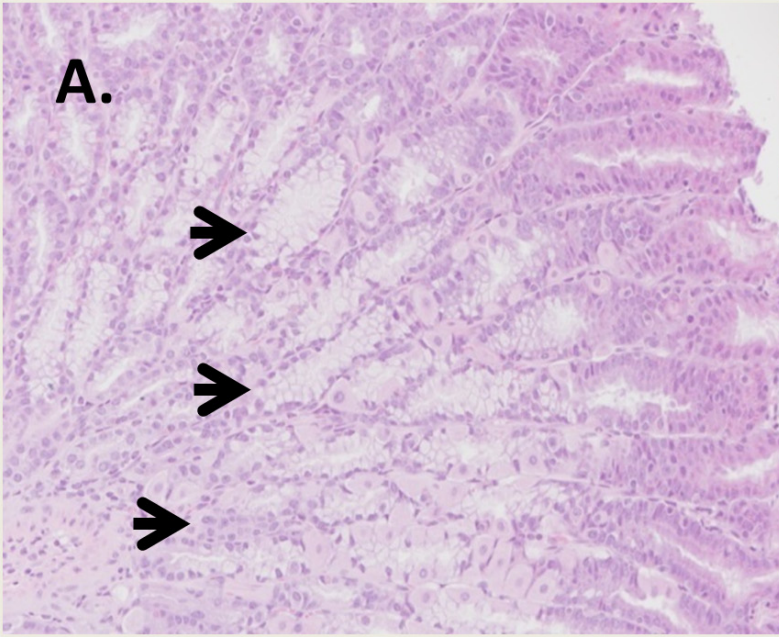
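This is the mucosa of the glandular stomach, with long glands running from the surface lining at the right toward the deeper mucosa at the left. Near the surface the glands are lined by tall columnar cells with elongated, crowded nuclei and purple-pink cytoplasm. Deeper down, many glands are lined instead by cells with pale, clear, foamy cytoplasm, which gives those areas a washed-out look; these are areas of mucinous metaplasia of the fundic glands.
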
